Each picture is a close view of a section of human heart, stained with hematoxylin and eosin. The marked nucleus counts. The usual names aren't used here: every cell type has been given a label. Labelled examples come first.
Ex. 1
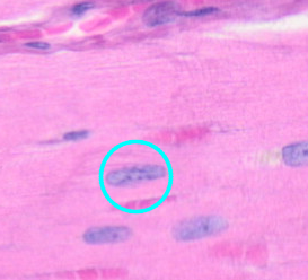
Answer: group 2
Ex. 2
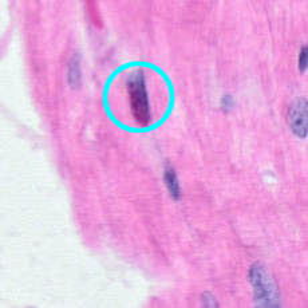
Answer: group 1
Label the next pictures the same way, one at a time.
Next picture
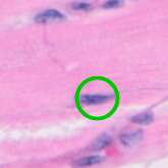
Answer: group 1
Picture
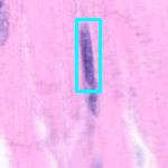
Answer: group 1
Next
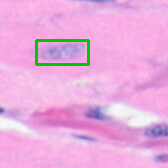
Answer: group 2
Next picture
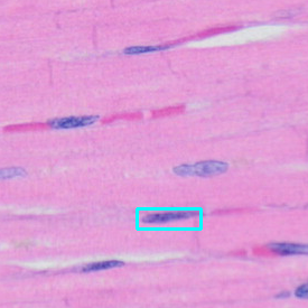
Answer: group 1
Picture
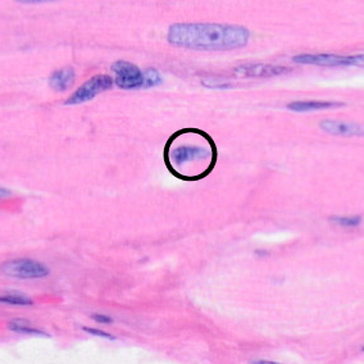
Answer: group 1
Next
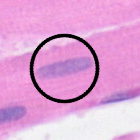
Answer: group 2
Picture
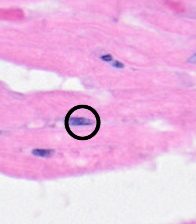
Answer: group 1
